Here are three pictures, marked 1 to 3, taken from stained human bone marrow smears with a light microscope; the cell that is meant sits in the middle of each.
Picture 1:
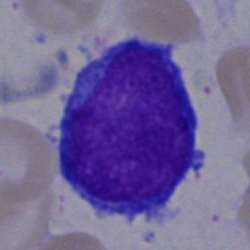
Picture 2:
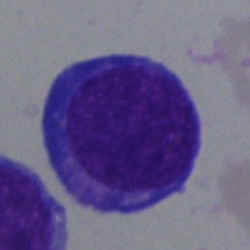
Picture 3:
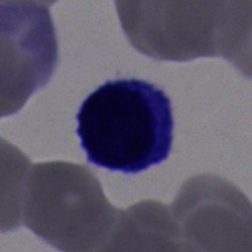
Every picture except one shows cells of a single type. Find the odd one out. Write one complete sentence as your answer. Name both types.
Unlike the rest, which show blasts, picture 3 shows a lymphocyte.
